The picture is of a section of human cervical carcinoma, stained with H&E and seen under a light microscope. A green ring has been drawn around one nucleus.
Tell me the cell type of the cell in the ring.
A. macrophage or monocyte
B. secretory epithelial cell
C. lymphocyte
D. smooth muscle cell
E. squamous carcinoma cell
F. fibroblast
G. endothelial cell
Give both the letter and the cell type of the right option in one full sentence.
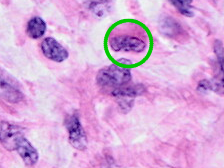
Under option A, the cell in the ring is a macrophage or monocyte, which is the correct identification.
